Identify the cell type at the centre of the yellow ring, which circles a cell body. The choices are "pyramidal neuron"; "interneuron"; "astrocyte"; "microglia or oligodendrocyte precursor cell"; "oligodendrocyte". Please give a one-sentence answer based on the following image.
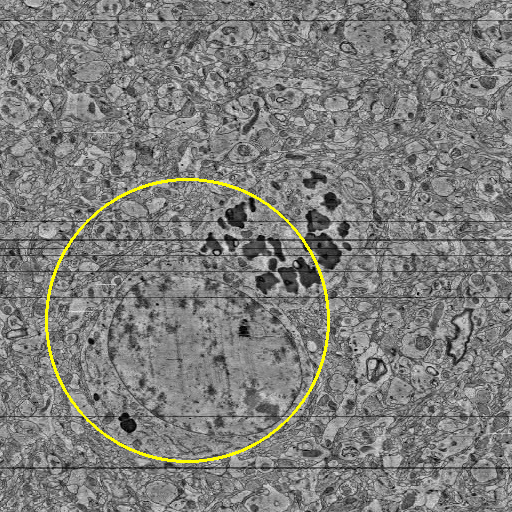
The cell marked by the ring is a pyramidal neuron.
